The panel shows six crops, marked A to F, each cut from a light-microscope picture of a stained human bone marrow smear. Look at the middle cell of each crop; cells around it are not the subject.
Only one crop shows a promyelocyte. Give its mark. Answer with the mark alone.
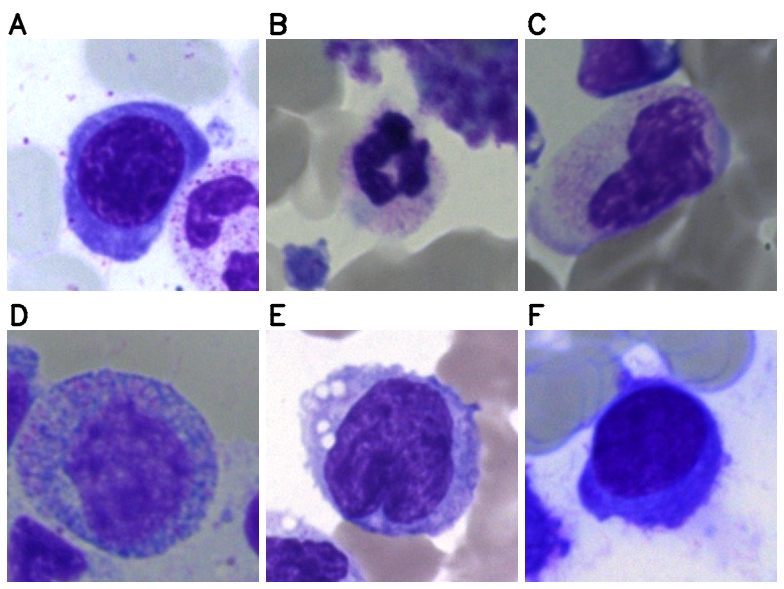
D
